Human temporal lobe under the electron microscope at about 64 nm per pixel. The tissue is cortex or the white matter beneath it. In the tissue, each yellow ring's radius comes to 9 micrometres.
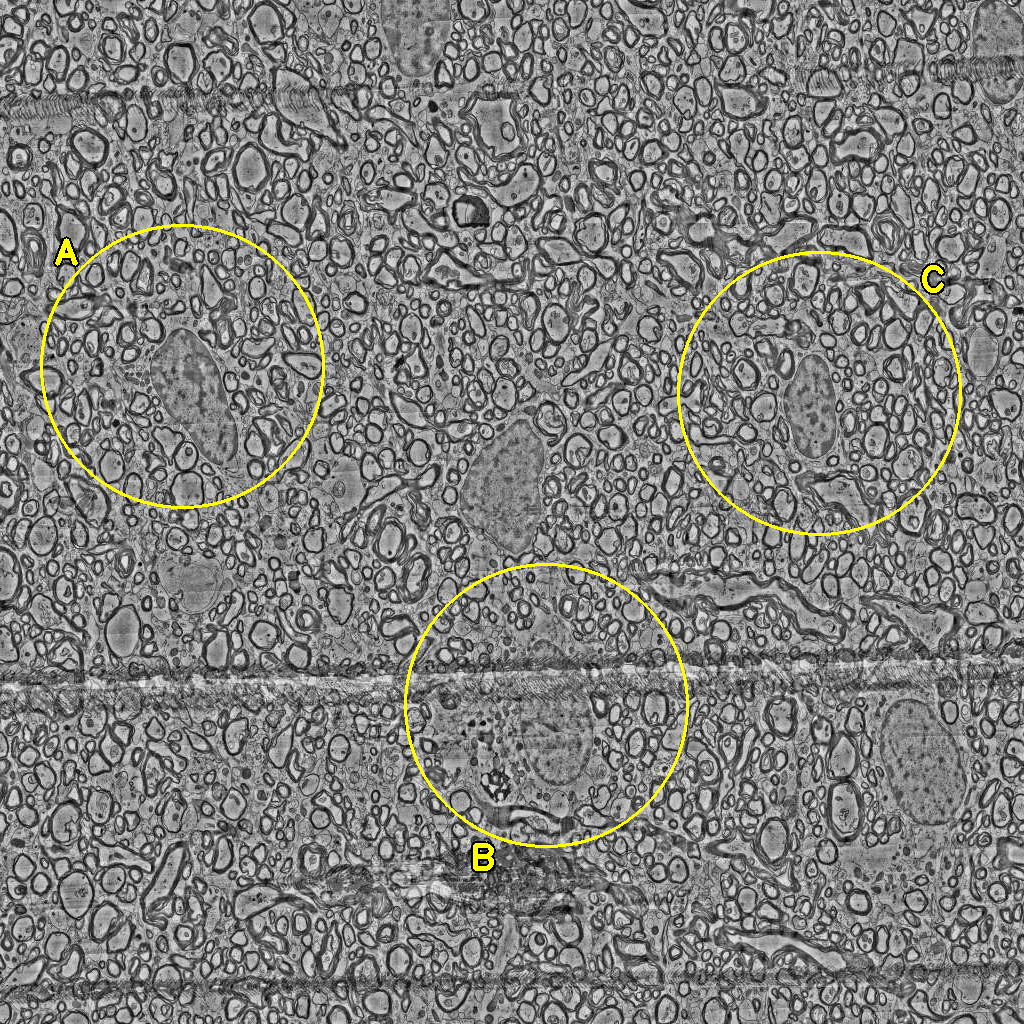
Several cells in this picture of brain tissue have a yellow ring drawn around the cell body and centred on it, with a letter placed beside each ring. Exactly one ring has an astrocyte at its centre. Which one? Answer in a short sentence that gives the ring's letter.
Ring B is centred on it.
